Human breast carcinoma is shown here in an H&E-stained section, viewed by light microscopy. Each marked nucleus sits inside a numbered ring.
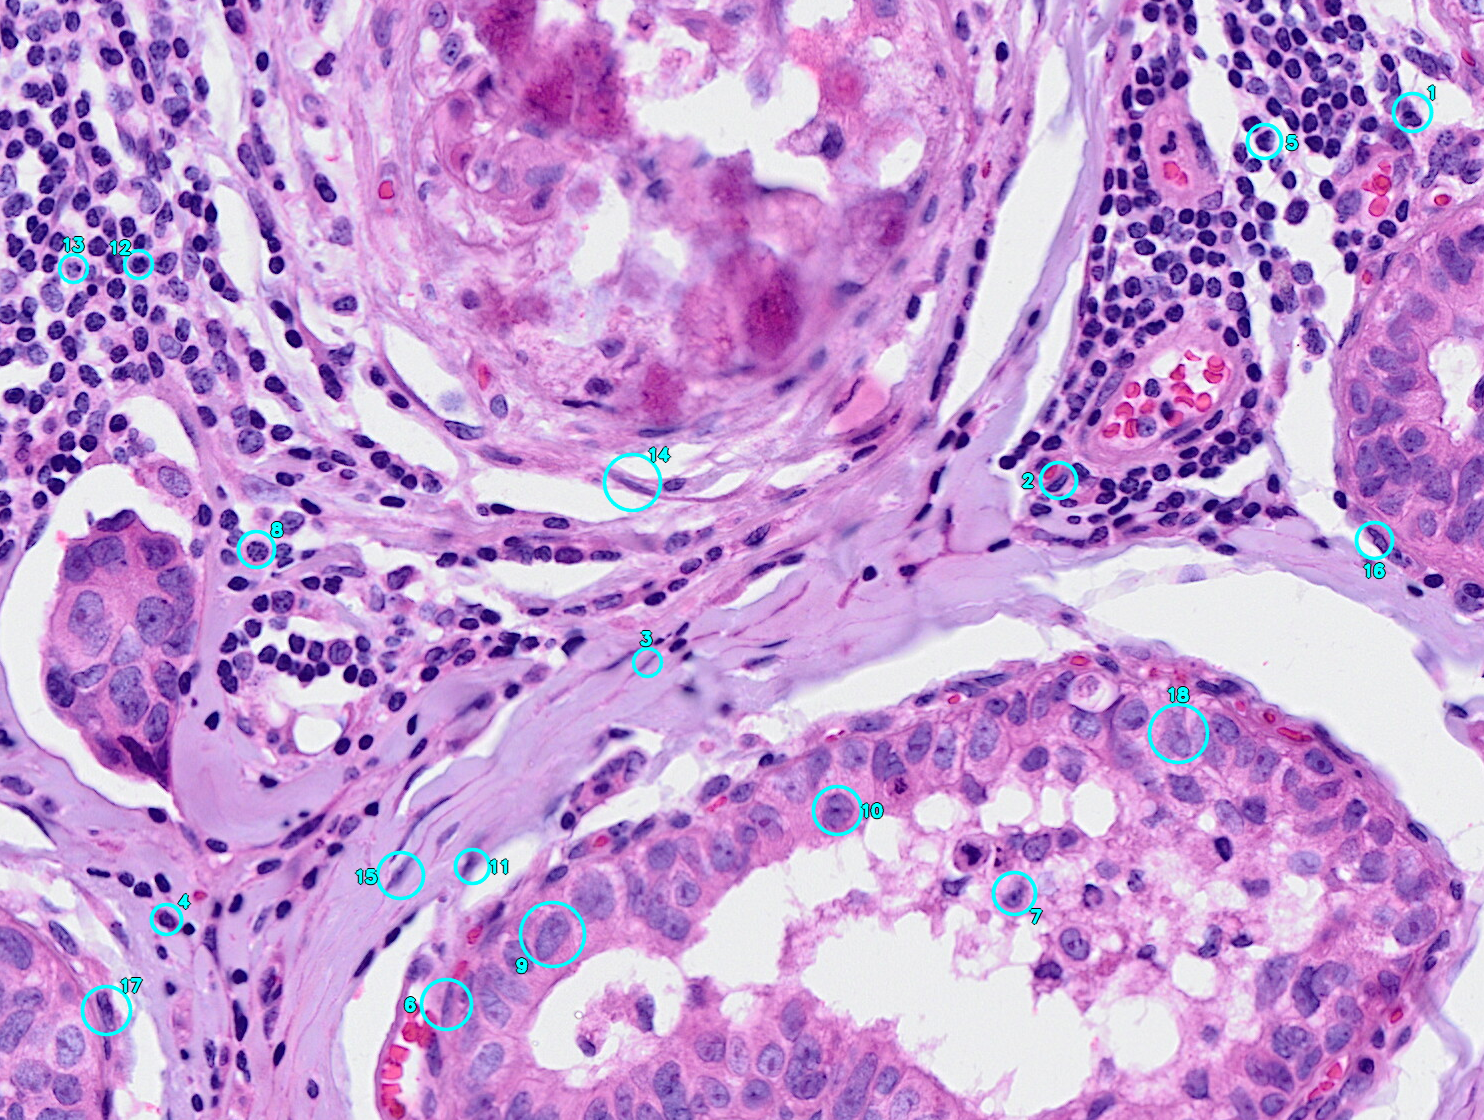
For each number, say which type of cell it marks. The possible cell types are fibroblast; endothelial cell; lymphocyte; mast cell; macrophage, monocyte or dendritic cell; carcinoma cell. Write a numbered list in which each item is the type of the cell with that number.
1. lymphocyte
2. endothelial cell
3. fibroblast
4. mast cell
5. lymphocyte
6. endothelial cell
7. macrophage, monocyte or dendritic cell
8. mast cell
9. carcinoma cell
10. carcinoma cell
11. fibroblast
12. lymphocyte
13. lymphocyte
14. fibroblast
15. fibroblast
16. endothelial cell
17. endothelial cell
18. carcinoma cell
